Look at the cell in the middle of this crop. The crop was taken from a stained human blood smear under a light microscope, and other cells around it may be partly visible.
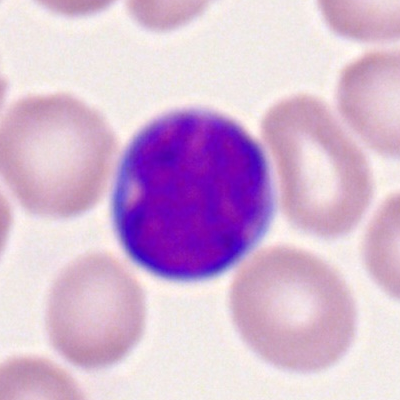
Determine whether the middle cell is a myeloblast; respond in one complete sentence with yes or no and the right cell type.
Yes, the cell positioned at the centre of the crop is a myeloblast.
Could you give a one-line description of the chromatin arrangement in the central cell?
This nucleus has coarsely clumped chromatin.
